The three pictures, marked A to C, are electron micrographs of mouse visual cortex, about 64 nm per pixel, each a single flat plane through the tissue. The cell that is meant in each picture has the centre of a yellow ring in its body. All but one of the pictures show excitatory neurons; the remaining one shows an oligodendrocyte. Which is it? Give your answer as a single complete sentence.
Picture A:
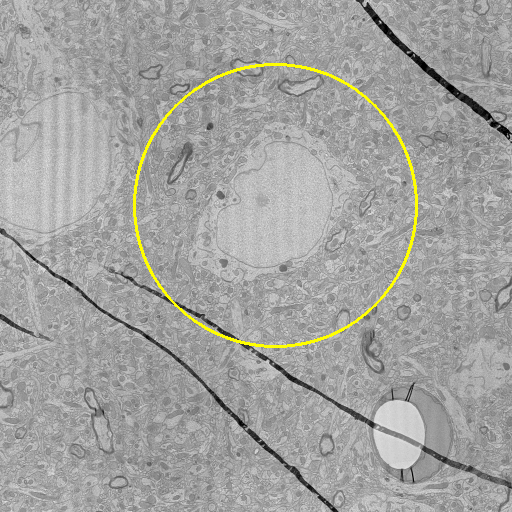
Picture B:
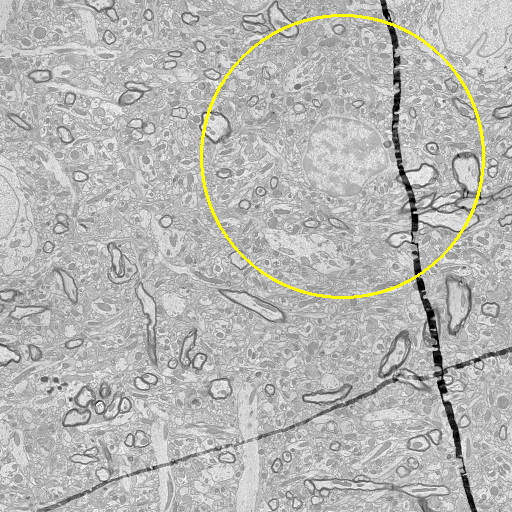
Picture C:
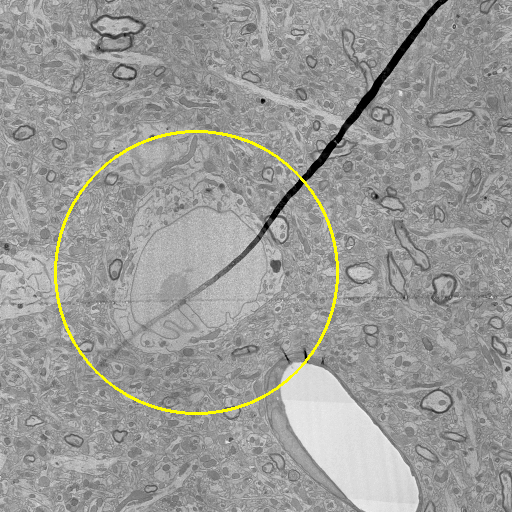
The picture with the oligodendrocyte is B.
